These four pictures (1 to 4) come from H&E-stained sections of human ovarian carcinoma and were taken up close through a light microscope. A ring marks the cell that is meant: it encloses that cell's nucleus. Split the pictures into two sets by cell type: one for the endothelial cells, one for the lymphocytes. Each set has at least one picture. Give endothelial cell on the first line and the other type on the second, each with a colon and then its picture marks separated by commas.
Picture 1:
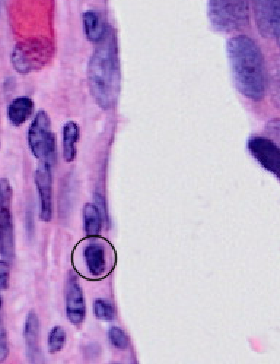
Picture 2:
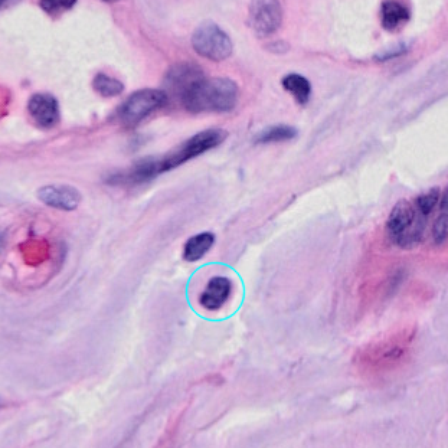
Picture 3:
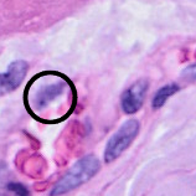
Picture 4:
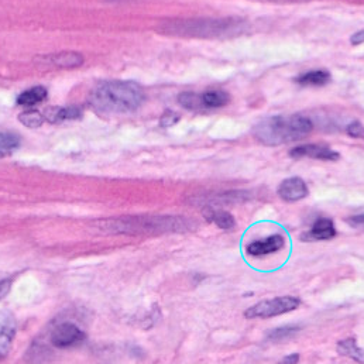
endothelial cell: 3
lymphocyte: 1, 2, 4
